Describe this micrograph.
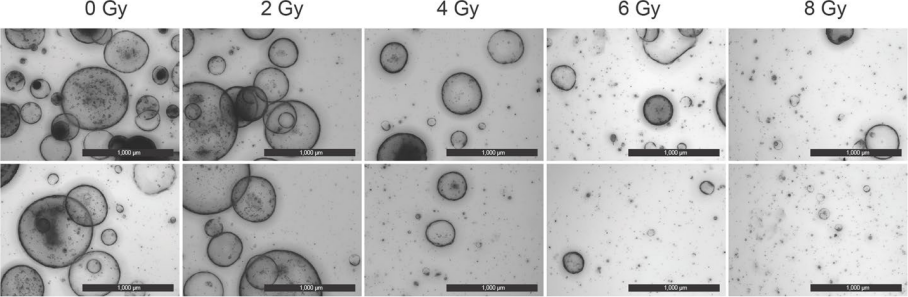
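Across the grid there are round, hollow epithelial spheroids, each a clear lumen bounded by a thin dark rim of cells. In the leftmost images the spheres are large and crowded, some overlapping, while further right they become fewer and smaller. In the rightmost images the field is mostly small dark specks with only an occasional ring-shaped sphere, so far less spheroid growth is seen there.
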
